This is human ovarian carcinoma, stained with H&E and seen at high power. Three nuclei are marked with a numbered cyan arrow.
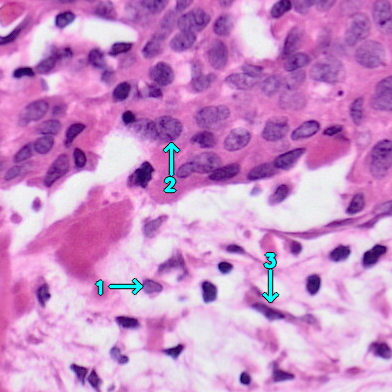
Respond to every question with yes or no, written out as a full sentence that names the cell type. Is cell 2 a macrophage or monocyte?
No, the one with number 2 is a carcinoma cell, not a macrophage or monocyte.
